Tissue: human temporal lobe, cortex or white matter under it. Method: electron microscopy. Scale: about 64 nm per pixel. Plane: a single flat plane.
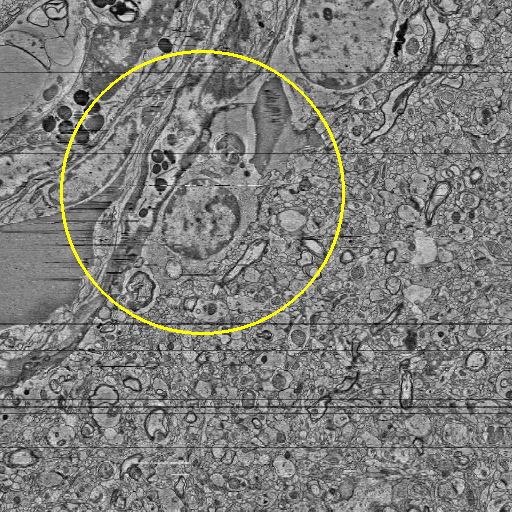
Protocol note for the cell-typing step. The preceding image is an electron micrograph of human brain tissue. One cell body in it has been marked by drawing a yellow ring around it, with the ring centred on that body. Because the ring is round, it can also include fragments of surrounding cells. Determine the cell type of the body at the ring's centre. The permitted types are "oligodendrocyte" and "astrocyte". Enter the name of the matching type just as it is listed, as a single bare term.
oligodendrocyte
